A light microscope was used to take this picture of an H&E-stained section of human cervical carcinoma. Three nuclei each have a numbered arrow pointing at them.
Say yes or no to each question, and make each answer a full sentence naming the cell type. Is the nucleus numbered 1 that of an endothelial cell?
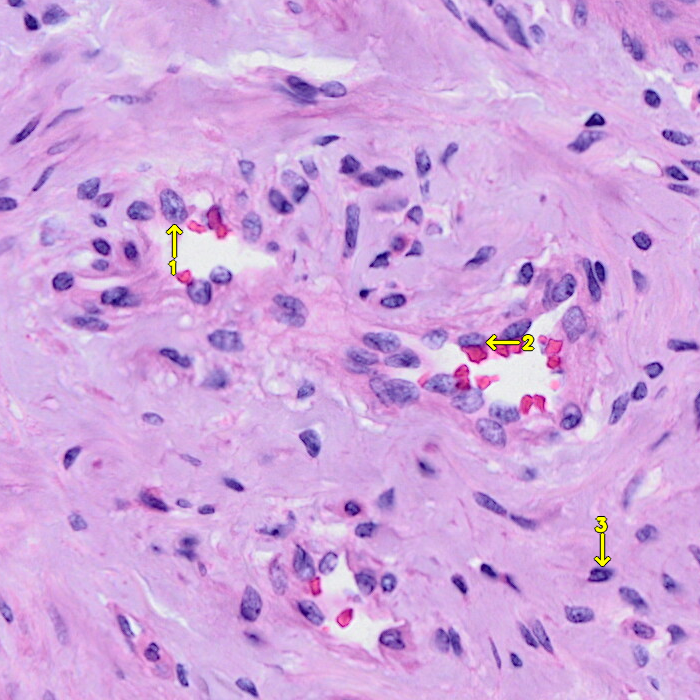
Yes, the cell to which number 1 refers is an endothelial cell.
